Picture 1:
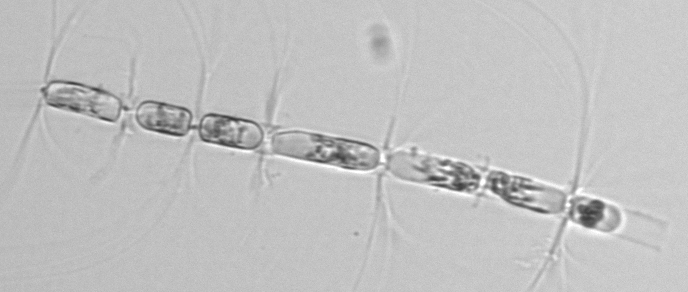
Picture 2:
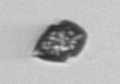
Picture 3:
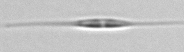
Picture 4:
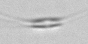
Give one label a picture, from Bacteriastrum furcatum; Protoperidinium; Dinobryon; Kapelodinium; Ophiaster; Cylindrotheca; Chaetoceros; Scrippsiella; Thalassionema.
Picture 1: Bacteriastrum furcatum
Picture 2: Scrippsiella
Picture 3: Cylindrotheca
Picture 4: Cylindrotheca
